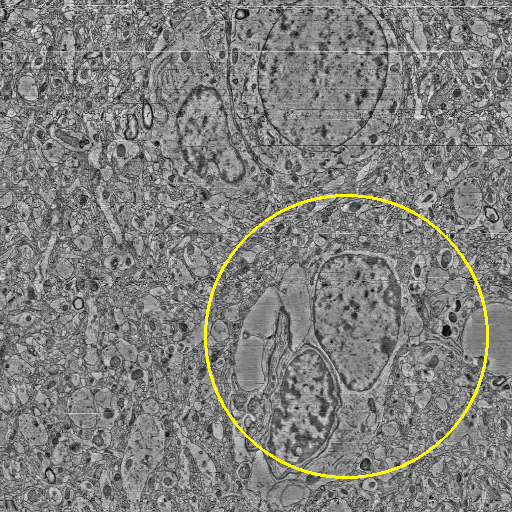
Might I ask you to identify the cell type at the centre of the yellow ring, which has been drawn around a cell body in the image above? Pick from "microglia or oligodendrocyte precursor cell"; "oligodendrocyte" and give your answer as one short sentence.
The centre of the ring falls on a microglial cell or oligodendrocyte precursor cell.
